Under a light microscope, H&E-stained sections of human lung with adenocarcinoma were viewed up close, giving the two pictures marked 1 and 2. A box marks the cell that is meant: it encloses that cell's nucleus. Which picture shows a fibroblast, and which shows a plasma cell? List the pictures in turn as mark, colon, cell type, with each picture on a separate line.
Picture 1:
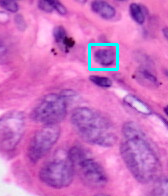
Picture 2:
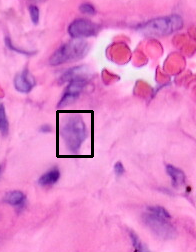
1: plasma cell
2: fibroblast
